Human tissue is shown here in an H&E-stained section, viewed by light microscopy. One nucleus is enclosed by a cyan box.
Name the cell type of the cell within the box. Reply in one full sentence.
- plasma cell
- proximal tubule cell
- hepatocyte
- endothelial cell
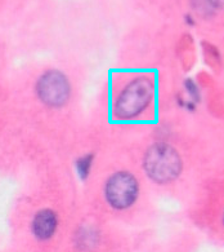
The category to which the cell within the box belongs is that of a proximal tubule cell.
